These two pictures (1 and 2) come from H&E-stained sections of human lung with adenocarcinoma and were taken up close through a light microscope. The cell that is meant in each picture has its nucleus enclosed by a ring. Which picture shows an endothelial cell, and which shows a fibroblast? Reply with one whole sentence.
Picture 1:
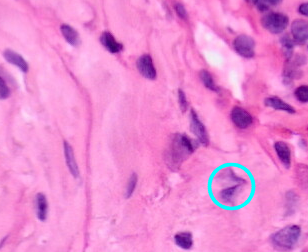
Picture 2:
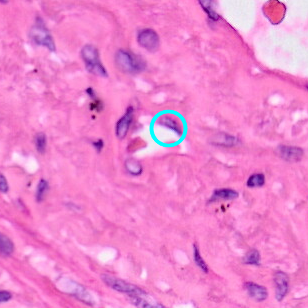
Picture 1 shows a fibroblast and picture 2 shows an endothelial cell.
